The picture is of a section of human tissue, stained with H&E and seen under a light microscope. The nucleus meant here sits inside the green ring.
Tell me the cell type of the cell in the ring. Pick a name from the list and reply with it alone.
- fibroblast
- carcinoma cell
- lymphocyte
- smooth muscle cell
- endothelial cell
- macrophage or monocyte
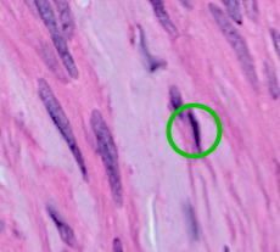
smooth muscle cell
